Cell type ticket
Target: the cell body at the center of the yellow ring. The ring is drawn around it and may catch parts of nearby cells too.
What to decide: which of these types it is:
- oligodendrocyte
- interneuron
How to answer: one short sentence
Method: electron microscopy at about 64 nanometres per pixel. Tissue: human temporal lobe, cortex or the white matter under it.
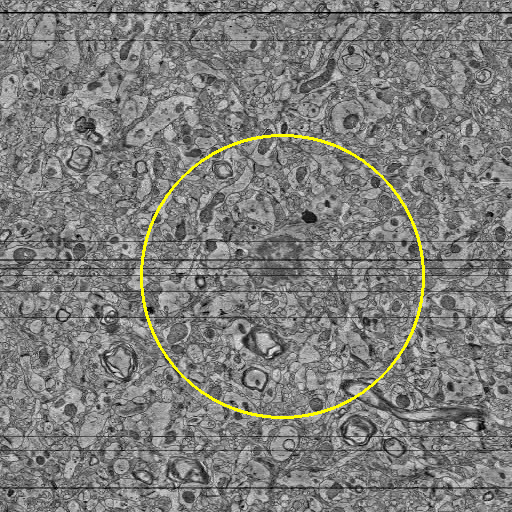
The cell at the center of the ring is an oligodendrocyte.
